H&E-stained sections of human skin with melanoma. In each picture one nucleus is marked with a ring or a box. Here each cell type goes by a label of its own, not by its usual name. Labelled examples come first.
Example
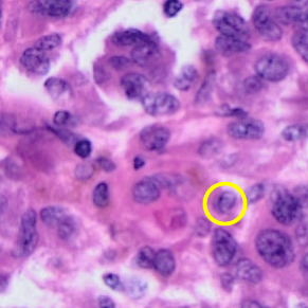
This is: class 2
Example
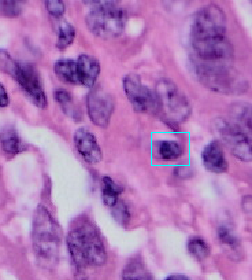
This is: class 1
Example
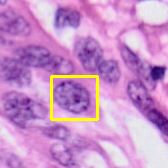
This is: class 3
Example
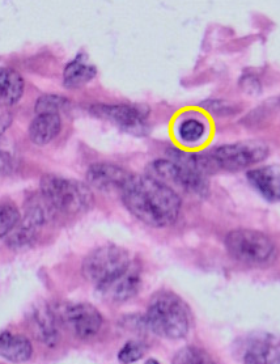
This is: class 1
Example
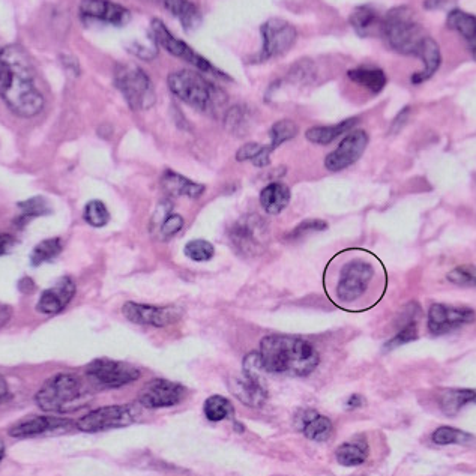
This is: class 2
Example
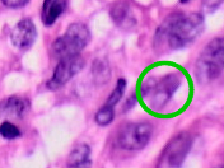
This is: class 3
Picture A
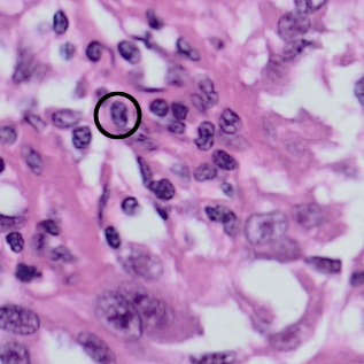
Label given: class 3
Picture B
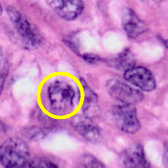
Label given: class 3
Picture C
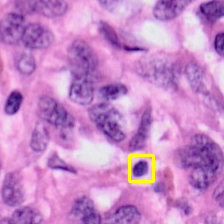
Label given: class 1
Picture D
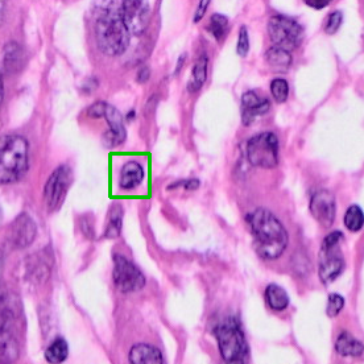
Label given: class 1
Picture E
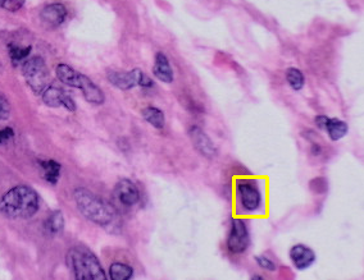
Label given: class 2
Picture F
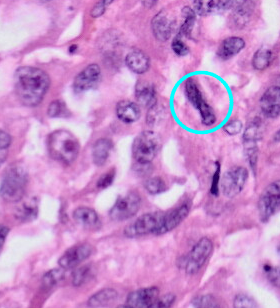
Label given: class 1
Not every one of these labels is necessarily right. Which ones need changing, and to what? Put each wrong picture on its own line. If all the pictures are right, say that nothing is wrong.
A is labelled class 3; correct label: class 1
F is labelled class 1; correct label: class 3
